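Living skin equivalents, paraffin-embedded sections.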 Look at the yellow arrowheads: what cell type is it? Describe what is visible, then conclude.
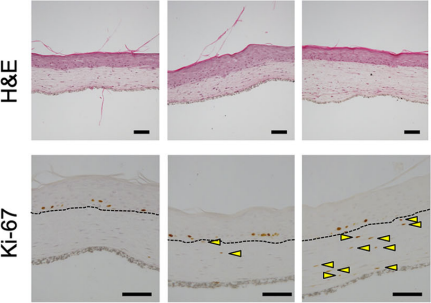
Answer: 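The arrowheads point to scattered brown-stained nuclei below the dotted line. These marked cells lie singly in the pale, loose lower layer. On this evidence: fibroblasts.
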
